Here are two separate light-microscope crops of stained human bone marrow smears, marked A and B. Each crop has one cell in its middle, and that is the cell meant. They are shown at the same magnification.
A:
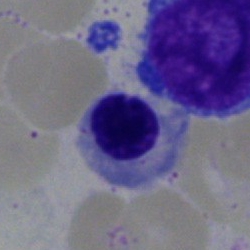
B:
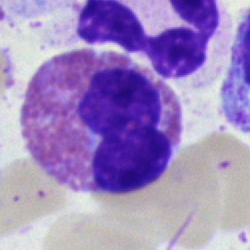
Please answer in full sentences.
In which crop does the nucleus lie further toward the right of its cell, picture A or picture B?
It is the nucleus in picture B that lies further toward the right of its cell.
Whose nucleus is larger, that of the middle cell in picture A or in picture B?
It is the nucleus in picture B, about 2.5 times as large in area as the one in picture A.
